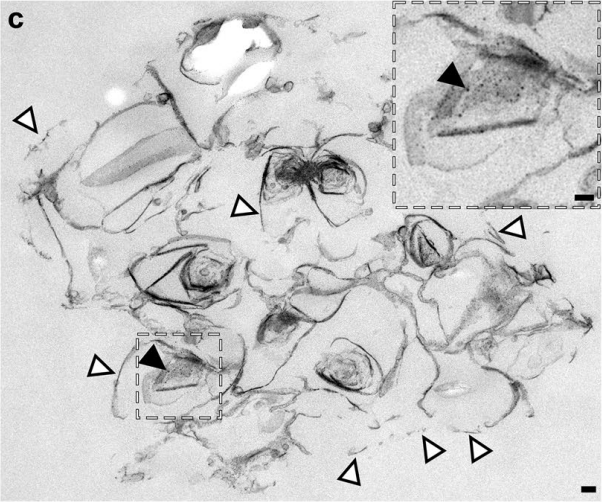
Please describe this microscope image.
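No intact cell is in view; the field is filled with loose extracellular membrane material. Thin dark membrane sheets form open sacs, curled whorls and concentric rings of several layers, while torn strips and small fragments scatter between them. Nowhere do the membranes form a regular lattice or orderly stacks; the arrangement is haphazard and broken. An enlarged inset shows one such fold with a few fine dark dots on it.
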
